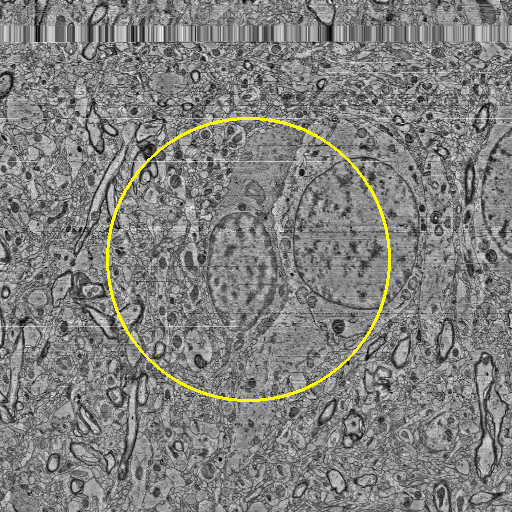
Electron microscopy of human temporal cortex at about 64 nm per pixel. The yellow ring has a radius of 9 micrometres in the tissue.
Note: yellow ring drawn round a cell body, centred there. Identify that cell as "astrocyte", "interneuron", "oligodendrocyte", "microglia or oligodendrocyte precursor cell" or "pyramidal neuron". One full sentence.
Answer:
The cell in the middle of the ring is an oligodendrocyte.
